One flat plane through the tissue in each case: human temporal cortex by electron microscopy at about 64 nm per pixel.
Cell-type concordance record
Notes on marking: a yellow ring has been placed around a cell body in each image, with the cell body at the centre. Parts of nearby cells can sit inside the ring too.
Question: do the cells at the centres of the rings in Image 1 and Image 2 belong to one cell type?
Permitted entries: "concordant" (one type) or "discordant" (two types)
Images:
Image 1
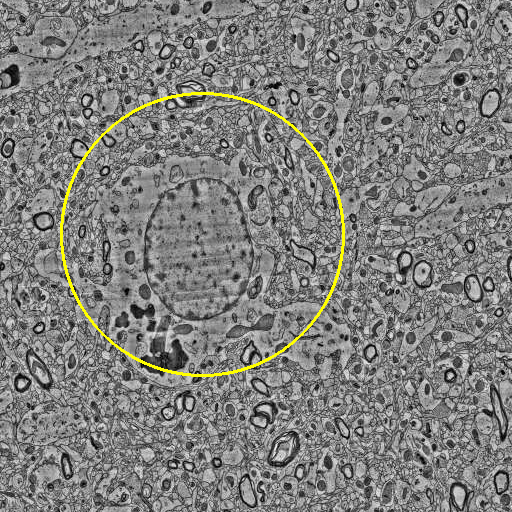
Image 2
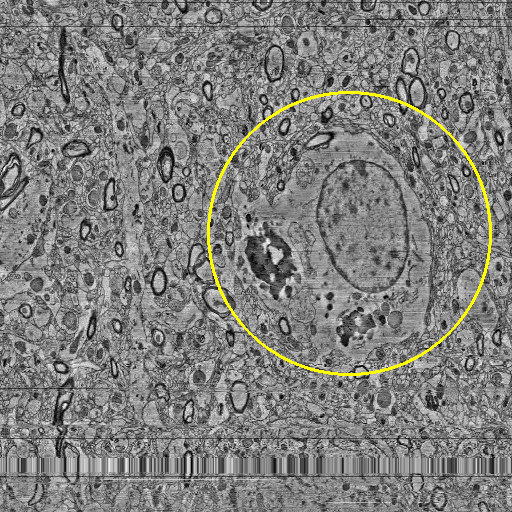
concordant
